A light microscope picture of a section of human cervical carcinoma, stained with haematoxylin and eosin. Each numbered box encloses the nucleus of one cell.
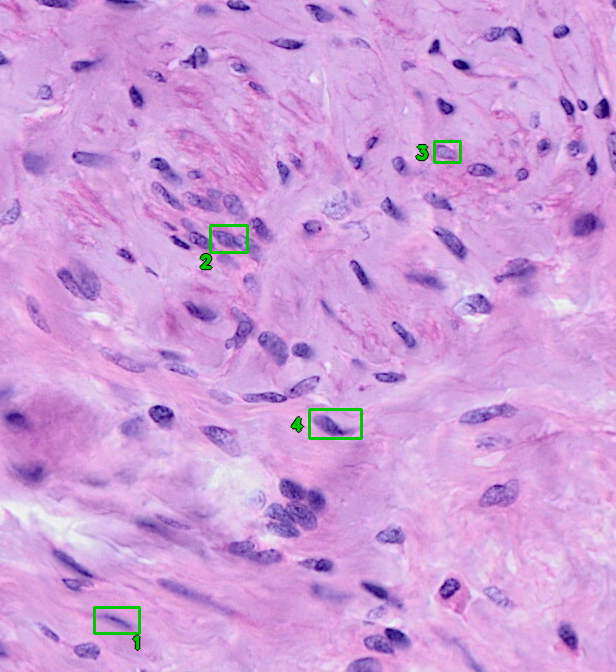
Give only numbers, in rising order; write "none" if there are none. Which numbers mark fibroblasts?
1, 4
